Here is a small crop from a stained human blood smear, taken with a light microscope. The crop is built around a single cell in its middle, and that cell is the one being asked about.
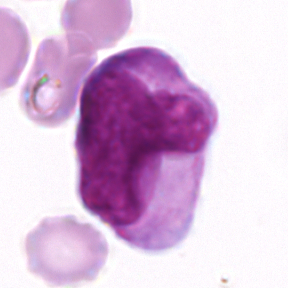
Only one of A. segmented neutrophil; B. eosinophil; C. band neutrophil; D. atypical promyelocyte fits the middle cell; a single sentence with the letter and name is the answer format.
The correct response is option D, naming the cell in the middle as an atypical promyelocyte.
